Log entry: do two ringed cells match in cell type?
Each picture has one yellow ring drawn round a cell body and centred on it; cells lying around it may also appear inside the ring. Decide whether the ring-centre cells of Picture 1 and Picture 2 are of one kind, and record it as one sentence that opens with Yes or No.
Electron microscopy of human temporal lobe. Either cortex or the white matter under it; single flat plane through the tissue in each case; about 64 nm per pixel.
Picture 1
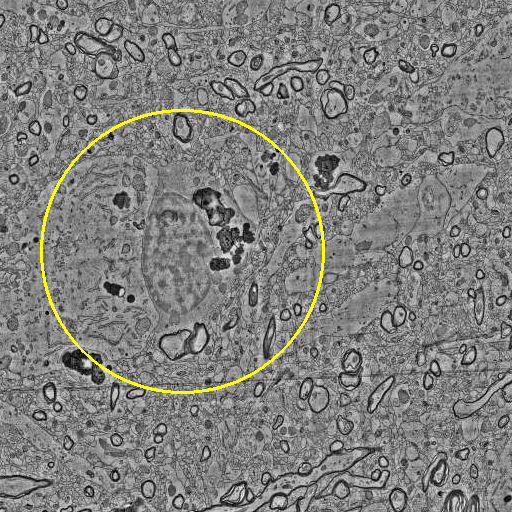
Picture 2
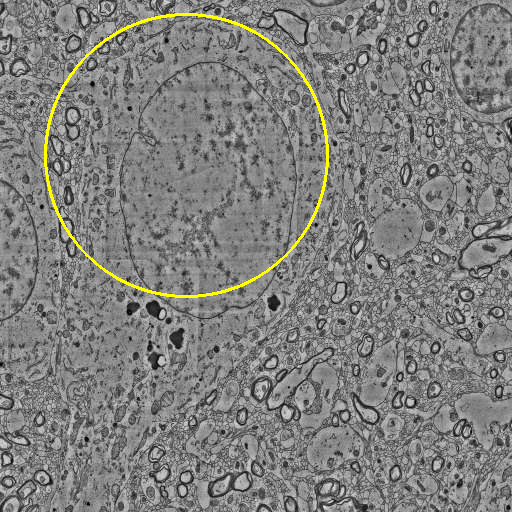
No, the cells at the ring centres of the two pictures belong to two kinds.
